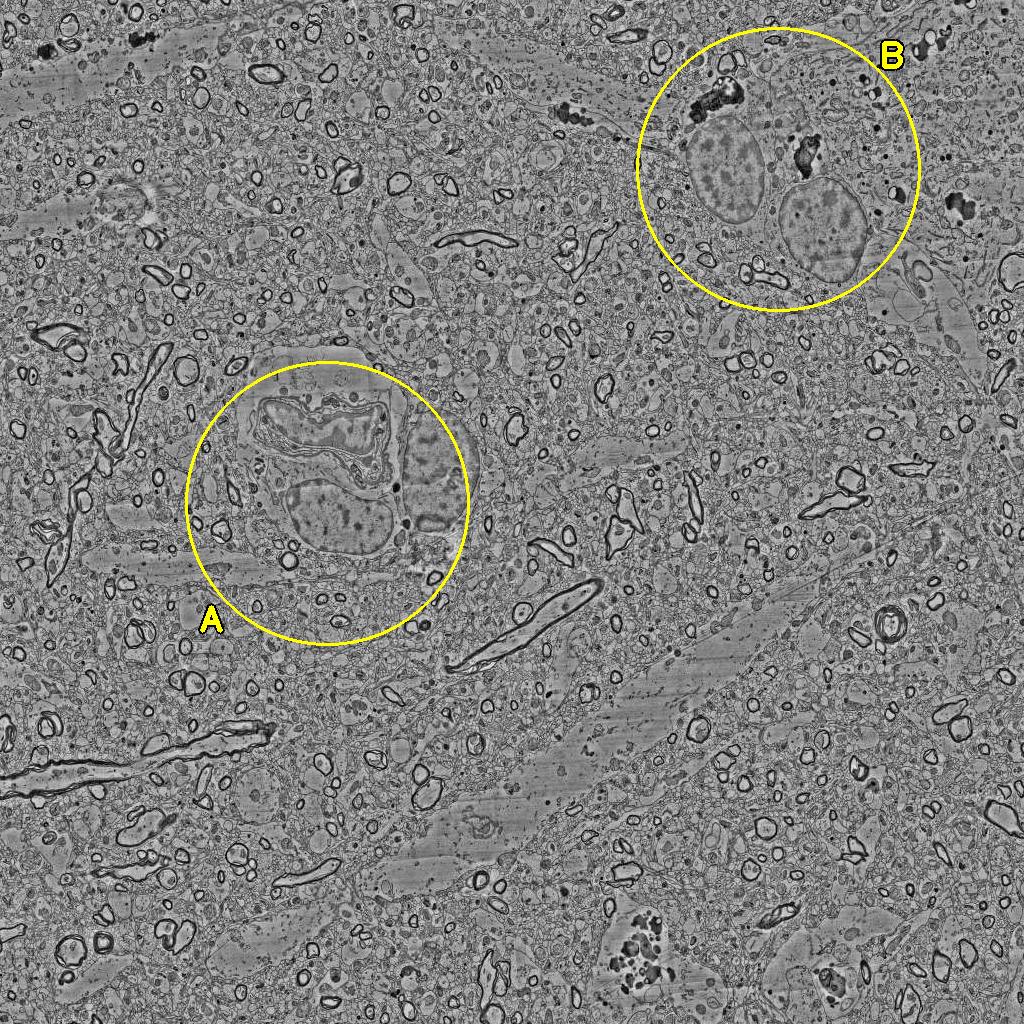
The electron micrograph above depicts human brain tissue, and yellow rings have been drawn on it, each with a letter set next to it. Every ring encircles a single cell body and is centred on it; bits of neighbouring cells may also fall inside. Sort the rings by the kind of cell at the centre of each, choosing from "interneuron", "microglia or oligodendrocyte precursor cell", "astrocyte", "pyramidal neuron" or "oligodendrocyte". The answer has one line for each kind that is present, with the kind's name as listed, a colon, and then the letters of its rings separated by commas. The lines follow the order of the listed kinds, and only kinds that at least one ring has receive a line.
microglia or oligodendrocyte precursor cell: A
oligodendrocyte: B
